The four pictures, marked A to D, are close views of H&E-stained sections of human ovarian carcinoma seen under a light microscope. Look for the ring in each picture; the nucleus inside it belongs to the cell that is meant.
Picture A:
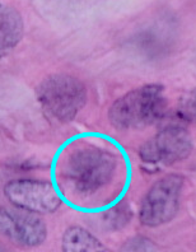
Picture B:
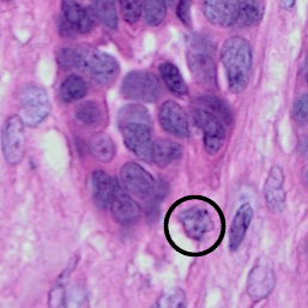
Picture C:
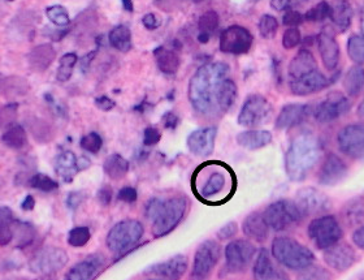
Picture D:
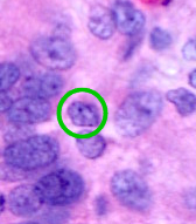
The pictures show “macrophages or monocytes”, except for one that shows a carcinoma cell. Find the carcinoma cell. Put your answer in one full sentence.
The cell in picture A is the carcinoma cell.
